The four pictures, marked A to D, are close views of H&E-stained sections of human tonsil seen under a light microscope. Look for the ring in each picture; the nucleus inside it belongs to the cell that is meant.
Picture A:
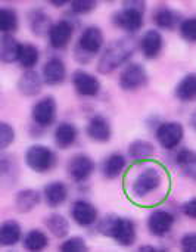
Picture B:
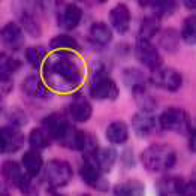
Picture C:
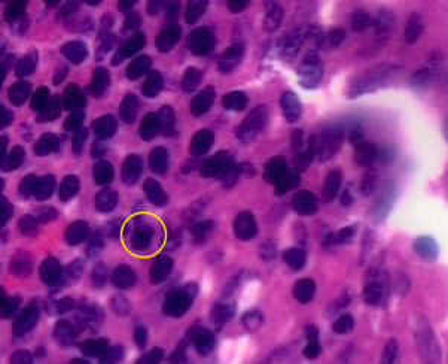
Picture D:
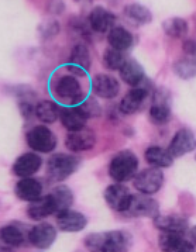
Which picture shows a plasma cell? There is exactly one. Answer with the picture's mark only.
C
